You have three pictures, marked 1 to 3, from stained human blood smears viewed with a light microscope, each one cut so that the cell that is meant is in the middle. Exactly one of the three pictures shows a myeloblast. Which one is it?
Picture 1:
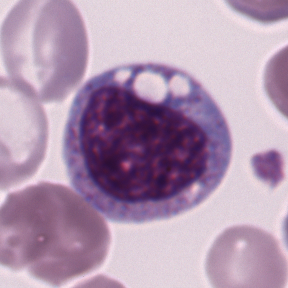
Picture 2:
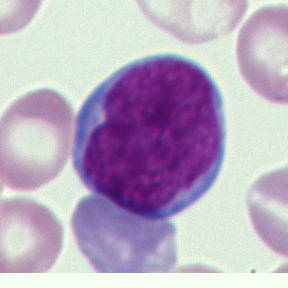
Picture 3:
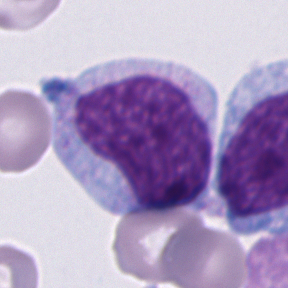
2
